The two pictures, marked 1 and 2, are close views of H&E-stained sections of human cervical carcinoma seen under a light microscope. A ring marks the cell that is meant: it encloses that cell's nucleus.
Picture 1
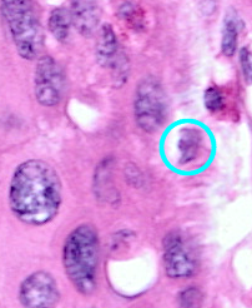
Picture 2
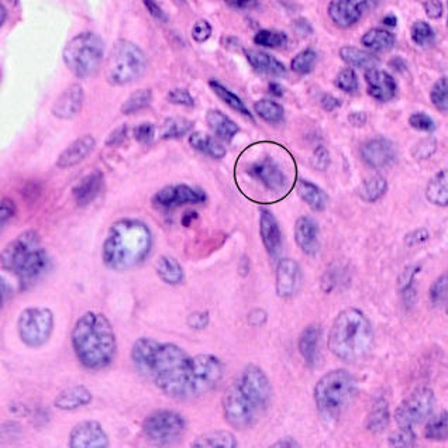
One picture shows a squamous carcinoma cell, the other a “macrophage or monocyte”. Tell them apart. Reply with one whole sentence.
Picture 1 shows a “macrophage or monocyte” and picture 2 shows a squamous carcinoma cell.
